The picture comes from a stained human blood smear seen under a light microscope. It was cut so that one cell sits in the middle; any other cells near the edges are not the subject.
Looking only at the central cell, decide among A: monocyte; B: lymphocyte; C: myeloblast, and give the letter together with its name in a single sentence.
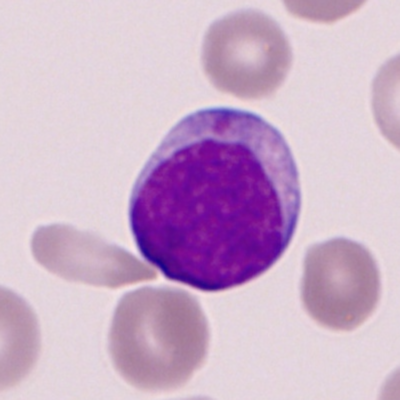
At the centre of the crop lies a myeloblast, which makes option C correct.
